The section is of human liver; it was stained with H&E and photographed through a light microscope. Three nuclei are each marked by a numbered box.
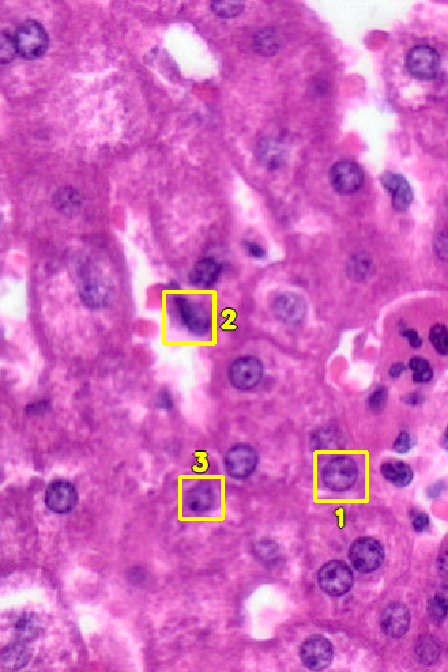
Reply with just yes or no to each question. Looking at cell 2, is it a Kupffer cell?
yes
